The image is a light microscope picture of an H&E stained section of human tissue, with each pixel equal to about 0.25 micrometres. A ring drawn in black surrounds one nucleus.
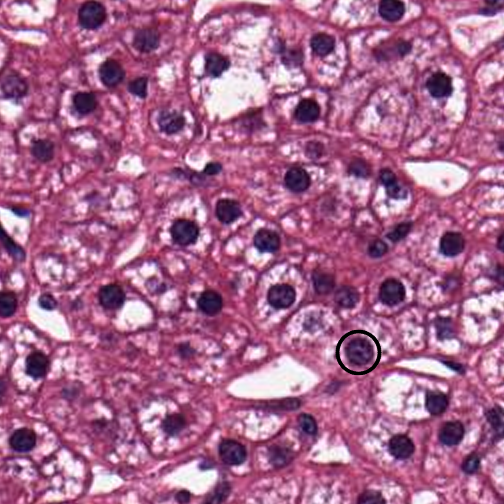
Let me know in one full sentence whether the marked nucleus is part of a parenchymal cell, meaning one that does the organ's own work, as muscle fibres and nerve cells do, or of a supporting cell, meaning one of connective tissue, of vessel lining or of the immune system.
In this field the marked nucleus is the nucleus of an adrenal cortical cell, a parenchymal cell.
